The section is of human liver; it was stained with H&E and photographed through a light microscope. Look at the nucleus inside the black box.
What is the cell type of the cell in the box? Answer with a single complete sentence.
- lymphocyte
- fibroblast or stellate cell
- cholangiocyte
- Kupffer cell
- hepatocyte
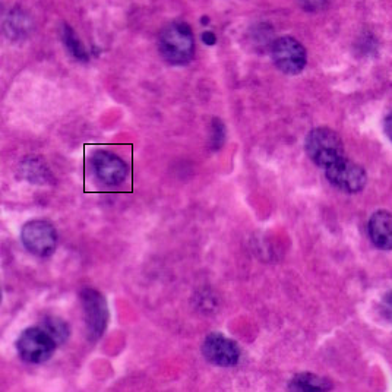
In the tissue at hand, the cell in the box is a hepatocyte.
